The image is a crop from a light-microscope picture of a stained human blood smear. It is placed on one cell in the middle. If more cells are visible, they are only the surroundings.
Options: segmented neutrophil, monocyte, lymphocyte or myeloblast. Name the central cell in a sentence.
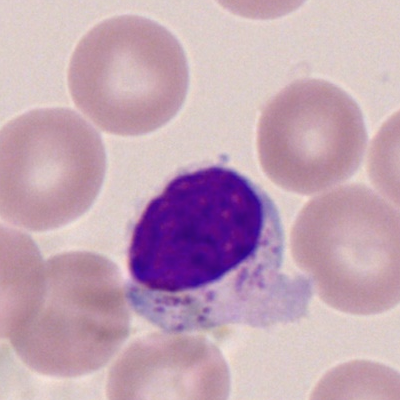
Where the crop is centred, there is a lymphocyte.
